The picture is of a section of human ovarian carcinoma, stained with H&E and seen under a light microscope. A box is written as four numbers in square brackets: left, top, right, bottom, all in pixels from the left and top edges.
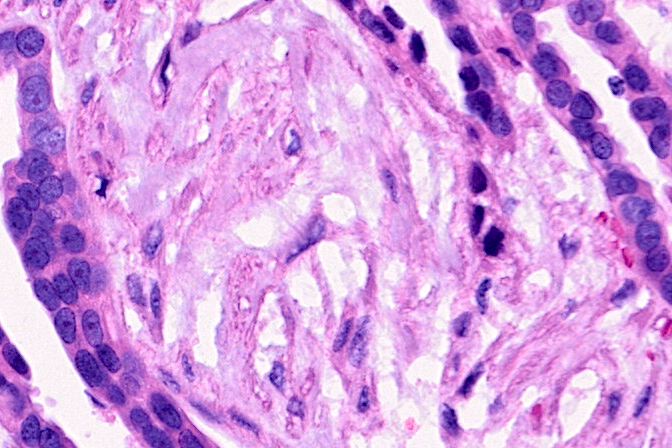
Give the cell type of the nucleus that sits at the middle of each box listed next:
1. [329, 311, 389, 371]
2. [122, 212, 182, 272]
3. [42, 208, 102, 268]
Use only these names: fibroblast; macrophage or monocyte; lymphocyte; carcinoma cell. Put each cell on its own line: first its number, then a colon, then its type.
1: fibroblast
2: fibroblast
3: carcinoma cell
